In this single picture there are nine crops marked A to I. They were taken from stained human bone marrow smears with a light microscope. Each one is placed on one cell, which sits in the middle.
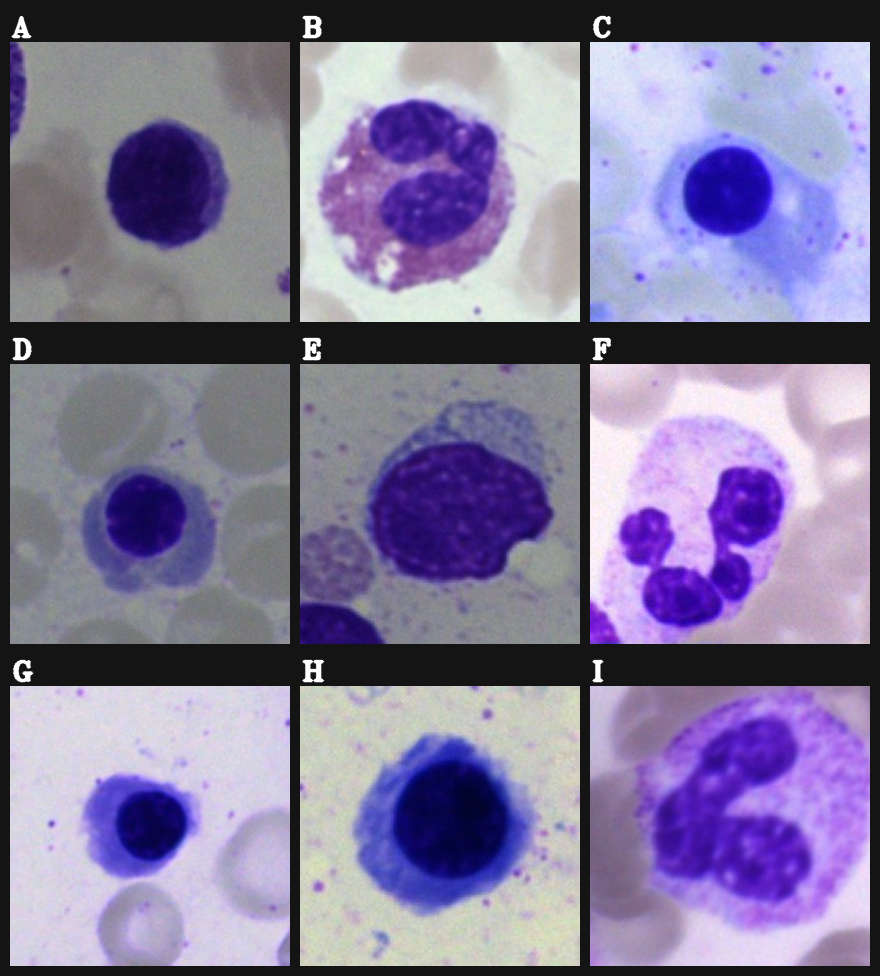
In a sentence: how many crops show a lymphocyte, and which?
A count of the crops showing lymphocytes gives two, namely A and E.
